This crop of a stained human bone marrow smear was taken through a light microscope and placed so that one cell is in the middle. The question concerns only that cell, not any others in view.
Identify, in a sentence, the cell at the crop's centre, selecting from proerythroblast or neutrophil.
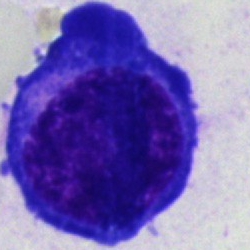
Framed in the middle of the crop is a proerythroblast.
